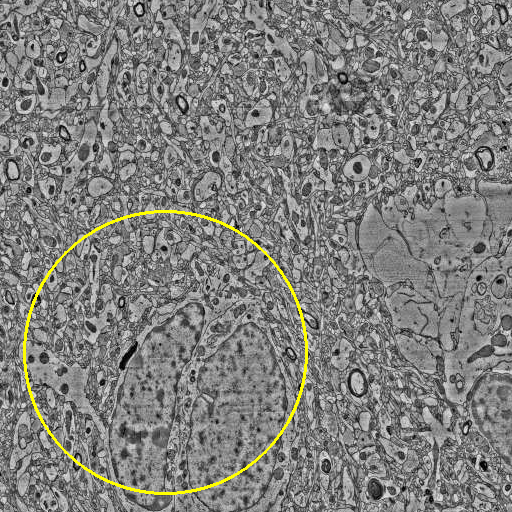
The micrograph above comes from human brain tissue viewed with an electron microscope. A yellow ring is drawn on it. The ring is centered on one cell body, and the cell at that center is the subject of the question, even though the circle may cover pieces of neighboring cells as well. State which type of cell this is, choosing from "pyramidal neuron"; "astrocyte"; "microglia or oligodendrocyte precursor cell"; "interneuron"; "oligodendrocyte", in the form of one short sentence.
The cell the ring is centered on is a microglial cell or oligodendrocyte precursor cell.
